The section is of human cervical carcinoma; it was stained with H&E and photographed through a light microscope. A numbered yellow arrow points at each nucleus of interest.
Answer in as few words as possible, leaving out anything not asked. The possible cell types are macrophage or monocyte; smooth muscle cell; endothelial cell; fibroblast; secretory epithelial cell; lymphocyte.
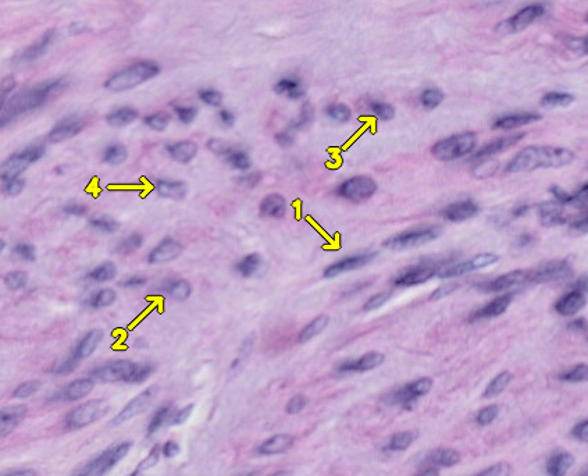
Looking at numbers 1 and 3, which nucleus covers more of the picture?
1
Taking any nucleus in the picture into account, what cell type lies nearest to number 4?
smooth muscle cell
